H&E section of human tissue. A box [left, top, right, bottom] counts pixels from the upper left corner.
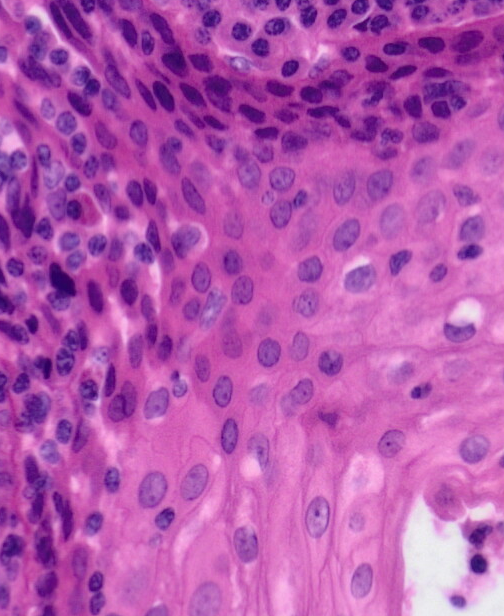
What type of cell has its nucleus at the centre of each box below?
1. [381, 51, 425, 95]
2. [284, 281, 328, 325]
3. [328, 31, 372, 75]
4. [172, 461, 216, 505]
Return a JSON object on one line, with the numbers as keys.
{"1": "squamous epithelial cell", "2": "squamous epithelial cell", "3": "plasma cell", "4": "squamous epithelial cell"}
